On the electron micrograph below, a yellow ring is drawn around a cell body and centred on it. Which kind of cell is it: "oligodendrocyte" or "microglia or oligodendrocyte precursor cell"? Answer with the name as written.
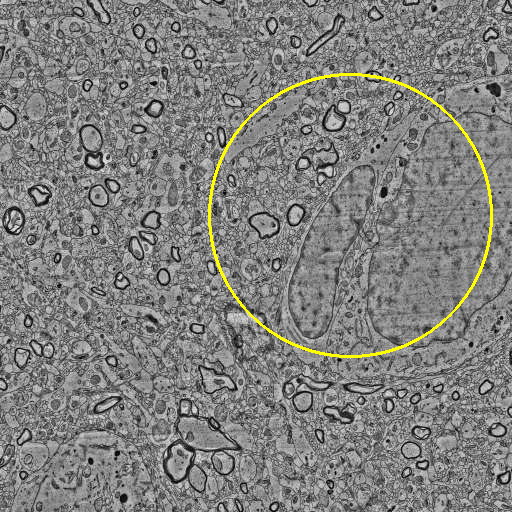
microglia or oligodendrocyte precursor cell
